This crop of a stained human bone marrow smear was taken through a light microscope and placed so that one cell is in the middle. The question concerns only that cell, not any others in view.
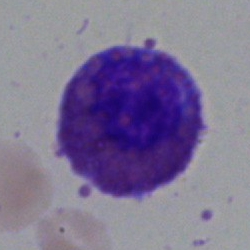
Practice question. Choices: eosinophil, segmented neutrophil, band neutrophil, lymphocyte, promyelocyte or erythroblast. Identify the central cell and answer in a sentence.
The cell at the middle of the frame should be recorded as an eosinophil.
